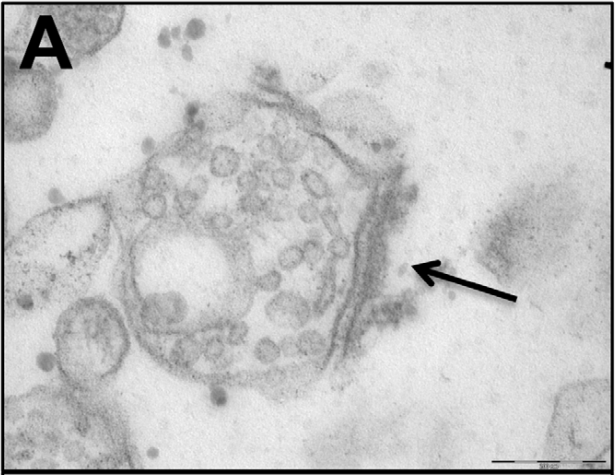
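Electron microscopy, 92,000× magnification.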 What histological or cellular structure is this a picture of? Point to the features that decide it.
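A dark thickened membrane segment lies at one edge of the profile. The answer: synaptosome.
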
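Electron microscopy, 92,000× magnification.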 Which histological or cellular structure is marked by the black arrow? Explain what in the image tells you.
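The arrow points to a dark, thickened band along the membrane at the edge of a vesicle-filled profile. The dense band lies on the membrane opposite the clustered small vesicles.
Post-synaptic density.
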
